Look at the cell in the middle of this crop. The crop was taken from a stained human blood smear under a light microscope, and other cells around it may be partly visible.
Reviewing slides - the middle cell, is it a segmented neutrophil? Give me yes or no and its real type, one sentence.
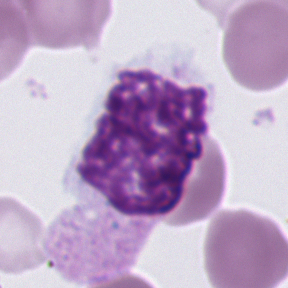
Yes, the cell lying in the middle is a segmented neutrophil.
